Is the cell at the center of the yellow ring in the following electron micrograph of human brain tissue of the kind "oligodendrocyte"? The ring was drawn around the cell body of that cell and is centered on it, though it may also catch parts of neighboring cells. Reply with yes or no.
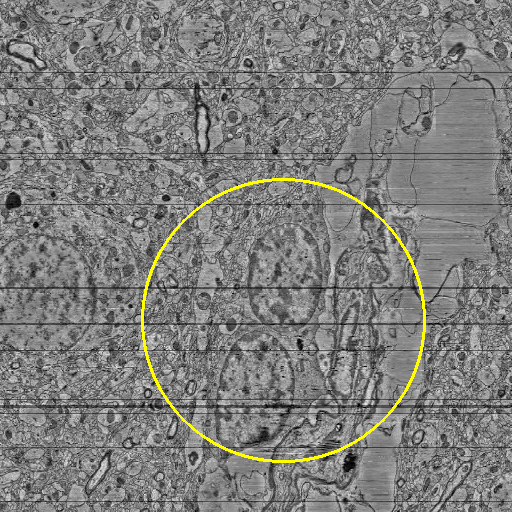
Yes, that is its kind.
